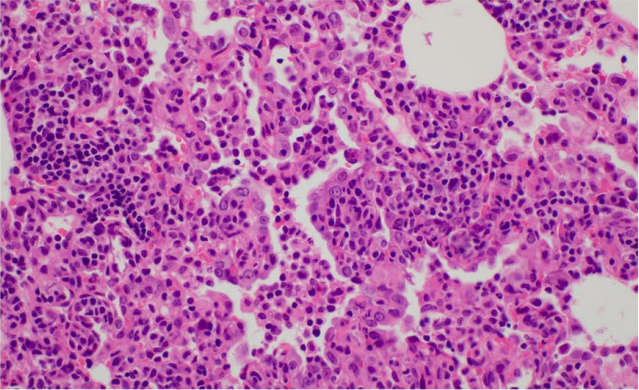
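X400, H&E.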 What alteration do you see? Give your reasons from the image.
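Alveolar atypia. Alveolar spaces are lined and crowded by plump cells with enlarged, dark nuclei. Air spaces are narrowed by the cellular proliferation.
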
